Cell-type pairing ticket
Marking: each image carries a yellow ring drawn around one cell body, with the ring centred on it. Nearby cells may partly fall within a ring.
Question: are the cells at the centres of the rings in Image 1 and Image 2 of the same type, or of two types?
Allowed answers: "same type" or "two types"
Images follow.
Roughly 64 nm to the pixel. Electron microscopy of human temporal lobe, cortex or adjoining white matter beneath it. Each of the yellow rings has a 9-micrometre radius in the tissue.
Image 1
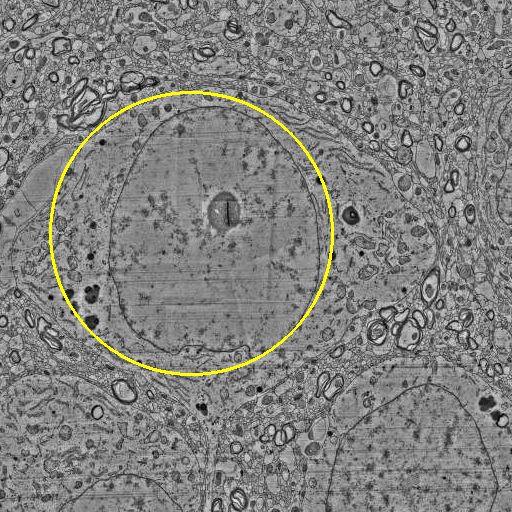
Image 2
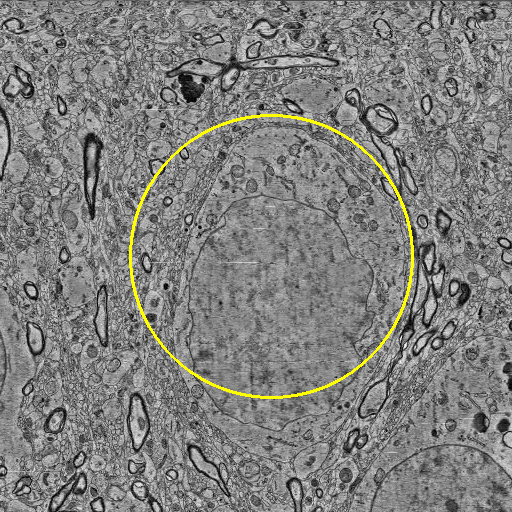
same type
